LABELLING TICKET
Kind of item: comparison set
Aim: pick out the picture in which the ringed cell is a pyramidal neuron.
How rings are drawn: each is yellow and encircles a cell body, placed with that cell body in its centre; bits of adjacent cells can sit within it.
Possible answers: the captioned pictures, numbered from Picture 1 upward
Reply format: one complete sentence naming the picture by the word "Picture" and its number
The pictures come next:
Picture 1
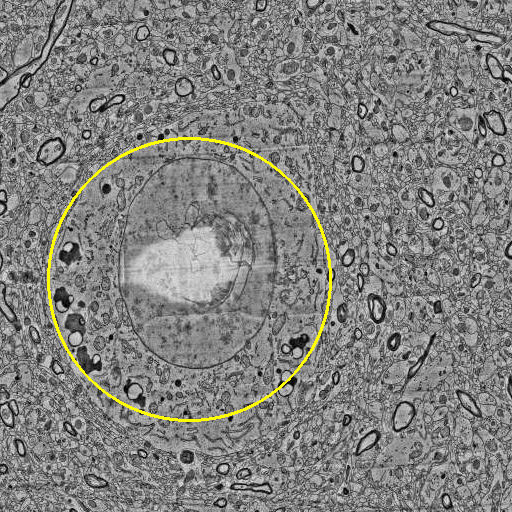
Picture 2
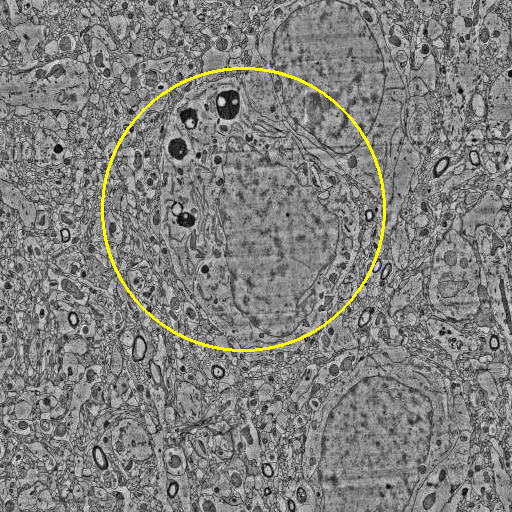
The cell centred inside the yellow ring in Picture 1 is the requested one.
